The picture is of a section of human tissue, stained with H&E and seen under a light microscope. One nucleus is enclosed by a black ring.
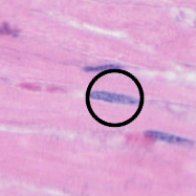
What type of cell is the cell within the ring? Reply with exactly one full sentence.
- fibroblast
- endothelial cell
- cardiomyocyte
In terms of identity, the cell within the ring is a fibroblast.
